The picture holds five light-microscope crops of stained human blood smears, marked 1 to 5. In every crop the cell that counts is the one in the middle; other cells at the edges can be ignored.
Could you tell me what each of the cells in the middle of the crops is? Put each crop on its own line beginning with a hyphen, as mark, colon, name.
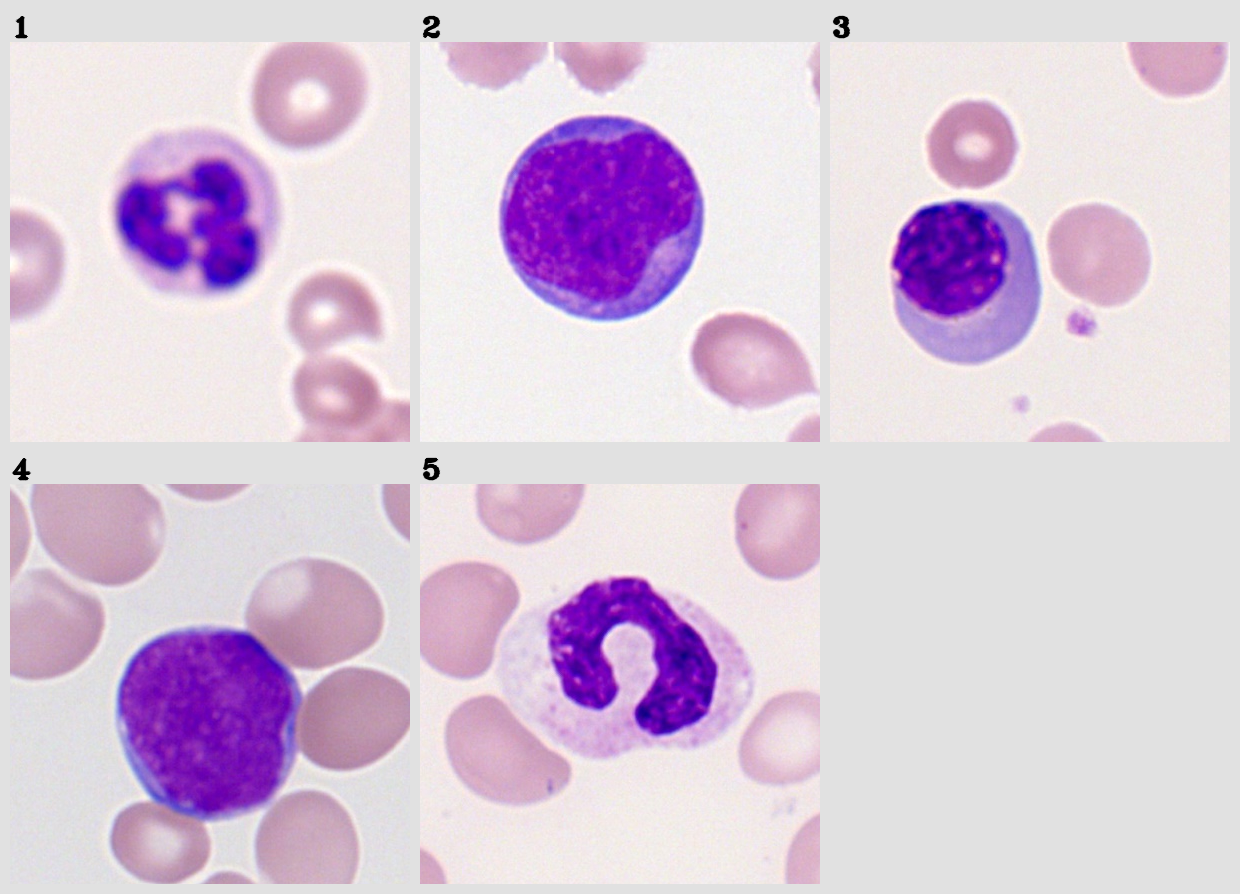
- 1: segmented neutrophil
- 2: myeloblast
- 3: normoblast
- 4: myeloblast
- 5: band neutrophil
